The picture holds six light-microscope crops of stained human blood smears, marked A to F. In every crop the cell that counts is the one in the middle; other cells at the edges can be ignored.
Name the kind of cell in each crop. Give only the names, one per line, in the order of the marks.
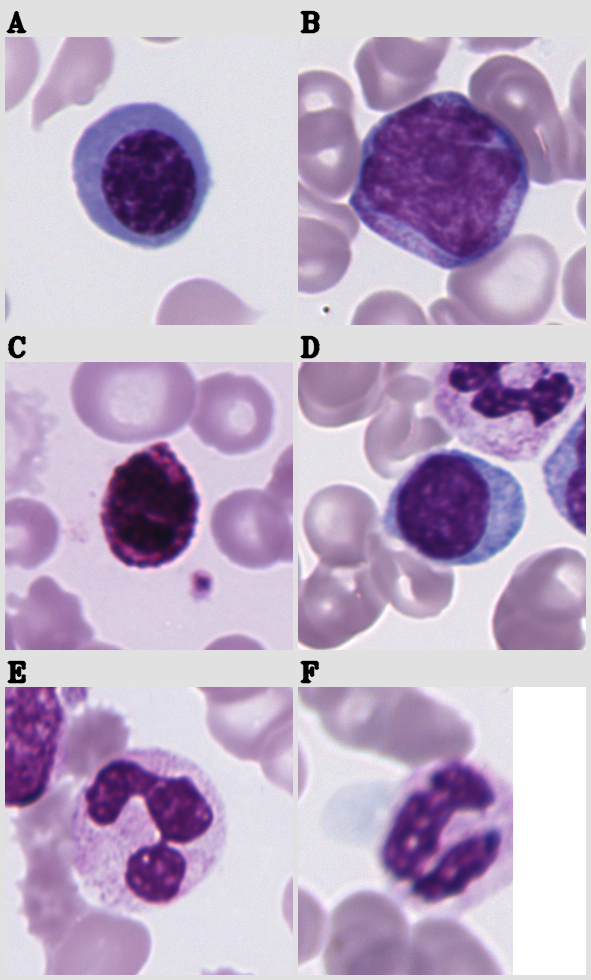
normoblast
promyelocyte
basophil
typical lymphocyte
segmented neutrophil
segmented neutrophil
